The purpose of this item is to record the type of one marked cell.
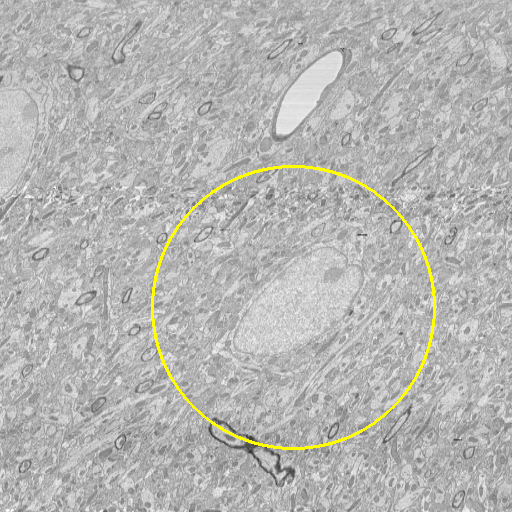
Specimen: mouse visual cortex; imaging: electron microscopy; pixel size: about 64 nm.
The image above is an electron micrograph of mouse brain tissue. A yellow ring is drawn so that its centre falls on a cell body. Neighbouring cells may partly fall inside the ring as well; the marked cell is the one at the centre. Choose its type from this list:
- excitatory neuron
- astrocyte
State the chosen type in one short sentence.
What the ring marks here is an astrocyte.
